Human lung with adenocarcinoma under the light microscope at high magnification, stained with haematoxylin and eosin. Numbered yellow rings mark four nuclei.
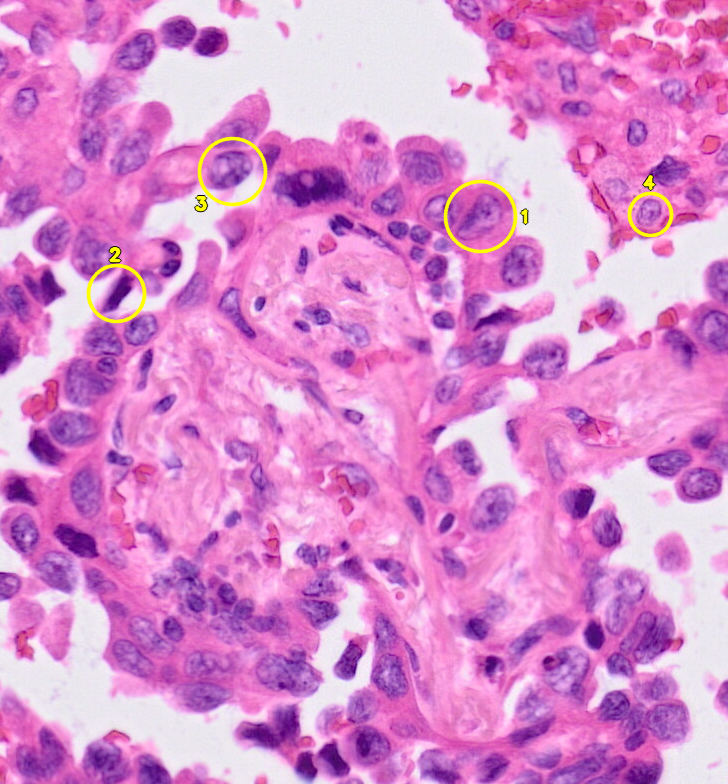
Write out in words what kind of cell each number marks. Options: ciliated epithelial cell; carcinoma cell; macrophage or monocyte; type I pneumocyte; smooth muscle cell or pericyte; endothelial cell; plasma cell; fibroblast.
Cell 1 is a carcinoma cell, cell 2 is a carcinoma cell, cell 3 is a carcinoma cell and cell 4 is a macrophage or monocyte.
